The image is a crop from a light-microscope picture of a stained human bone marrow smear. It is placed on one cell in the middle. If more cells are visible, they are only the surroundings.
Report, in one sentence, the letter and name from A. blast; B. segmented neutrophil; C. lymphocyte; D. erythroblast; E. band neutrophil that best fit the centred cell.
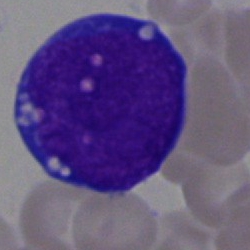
Located in the middle of the crop is a blast, and option A is therefore correct.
